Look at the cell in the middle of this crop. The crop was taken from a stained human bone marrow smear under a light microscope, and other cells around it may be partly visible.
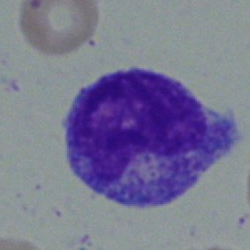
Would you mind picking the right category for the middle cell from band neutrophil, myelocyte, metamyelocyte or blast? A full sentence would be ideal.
In this crop, the cell at the very middle is a myelocyte.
